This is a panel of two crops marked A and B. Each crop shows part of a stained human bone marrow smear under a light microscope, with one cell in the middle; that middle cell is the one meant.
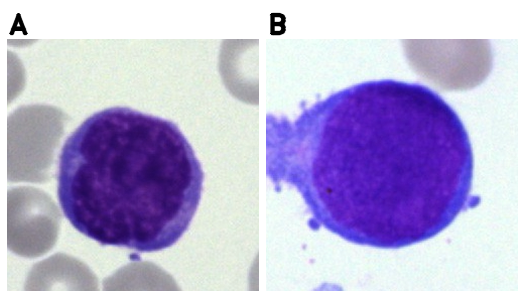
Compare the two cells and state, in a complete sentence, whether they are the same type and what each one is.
Yes, blasts are seen in both crops.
